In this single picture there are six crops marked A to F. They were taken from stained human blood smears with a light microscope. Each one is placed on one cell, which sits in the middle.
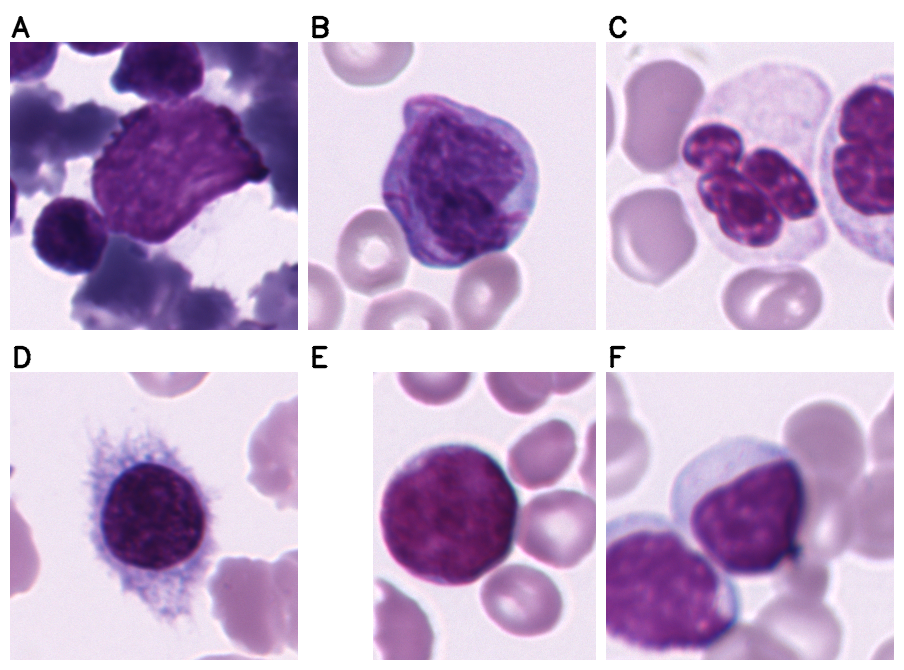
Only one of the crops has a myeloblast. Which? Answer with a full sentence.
Crop E matches the request, showing a myeloblast.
